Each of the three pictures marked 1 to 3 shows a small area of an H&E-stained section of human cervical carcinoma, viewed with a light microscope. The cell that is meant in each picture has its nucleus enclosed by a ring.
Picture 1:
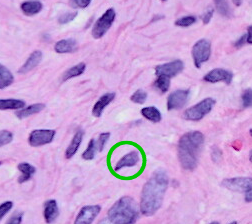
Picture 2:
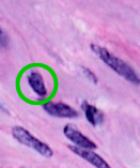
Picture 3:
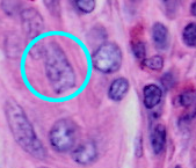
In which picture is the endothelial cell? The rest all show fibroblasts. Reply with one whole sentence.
The picture with the endothelial cell is 3.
